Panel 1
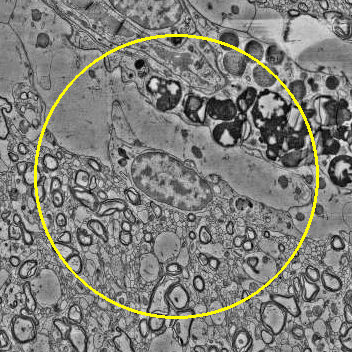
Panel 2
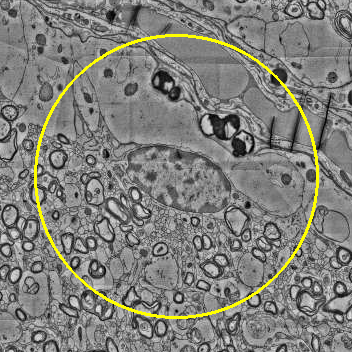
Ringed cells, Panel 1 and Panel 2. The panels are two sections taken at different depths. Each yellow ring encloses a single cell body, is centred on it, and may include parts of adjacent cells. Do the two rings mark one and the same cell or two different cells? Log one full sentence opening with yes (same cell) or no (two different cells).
Yes, a single cell lies behind both yellow marks.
